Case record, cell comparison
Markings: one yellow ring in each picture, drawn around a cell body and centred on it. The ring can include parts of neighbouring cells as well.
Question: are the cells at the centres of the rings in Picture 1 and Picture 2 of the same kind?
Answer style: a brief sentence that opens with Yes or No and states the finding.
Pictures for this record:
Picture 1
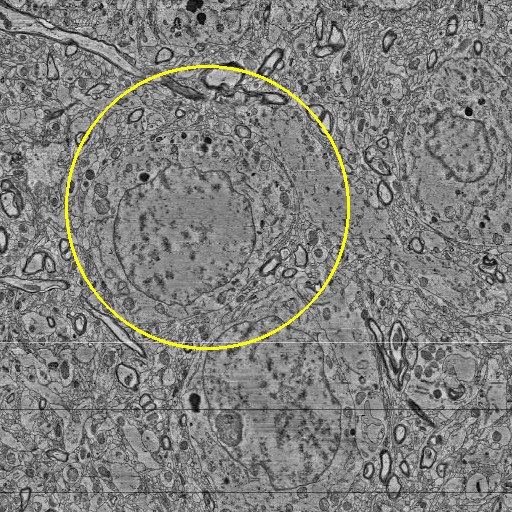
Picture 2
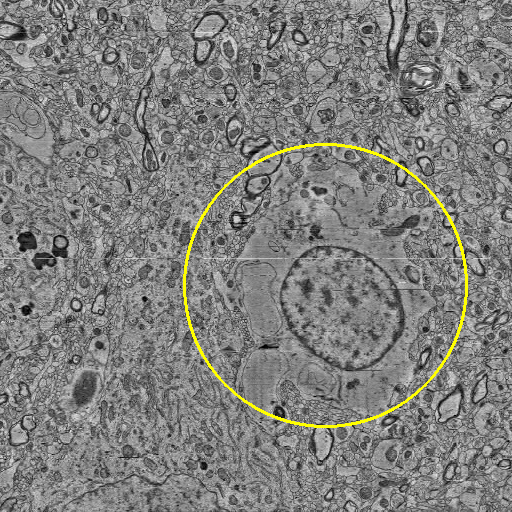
No, the cells in Picture 1 and Picture 2 are of two kinds.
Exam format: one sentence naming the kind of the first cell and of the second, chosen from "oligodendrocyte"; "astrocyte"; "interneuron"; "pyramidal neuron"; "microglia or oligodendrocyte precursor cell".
The first picture's cell is a pyramidal neuron, and the second picture's cell is an astrocyte.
